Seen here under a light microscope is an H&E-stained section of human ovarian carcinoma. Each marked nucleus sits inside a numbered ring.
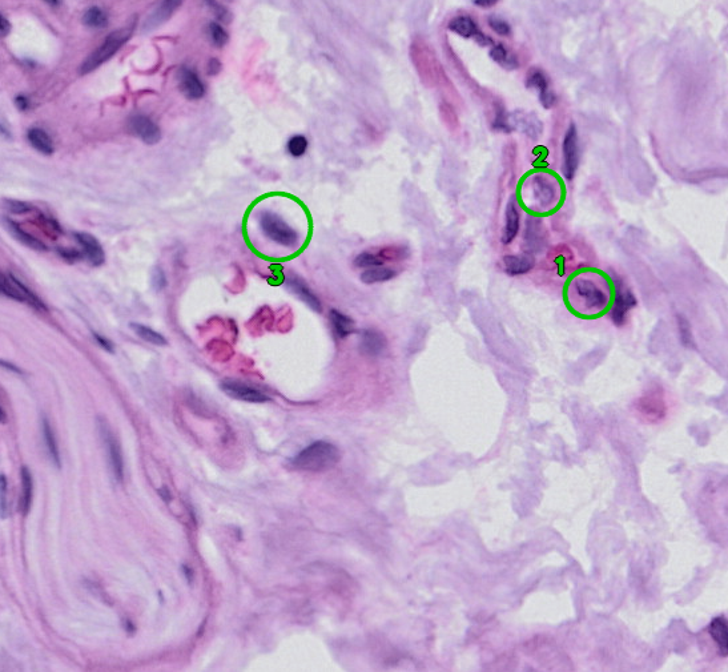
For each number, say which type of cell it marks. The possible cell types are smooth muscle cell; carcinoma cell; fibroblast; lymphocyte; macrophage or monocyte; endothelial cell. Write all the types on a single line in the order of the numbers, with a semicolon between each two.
endothelial cell; endothelial cell; fibroblast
